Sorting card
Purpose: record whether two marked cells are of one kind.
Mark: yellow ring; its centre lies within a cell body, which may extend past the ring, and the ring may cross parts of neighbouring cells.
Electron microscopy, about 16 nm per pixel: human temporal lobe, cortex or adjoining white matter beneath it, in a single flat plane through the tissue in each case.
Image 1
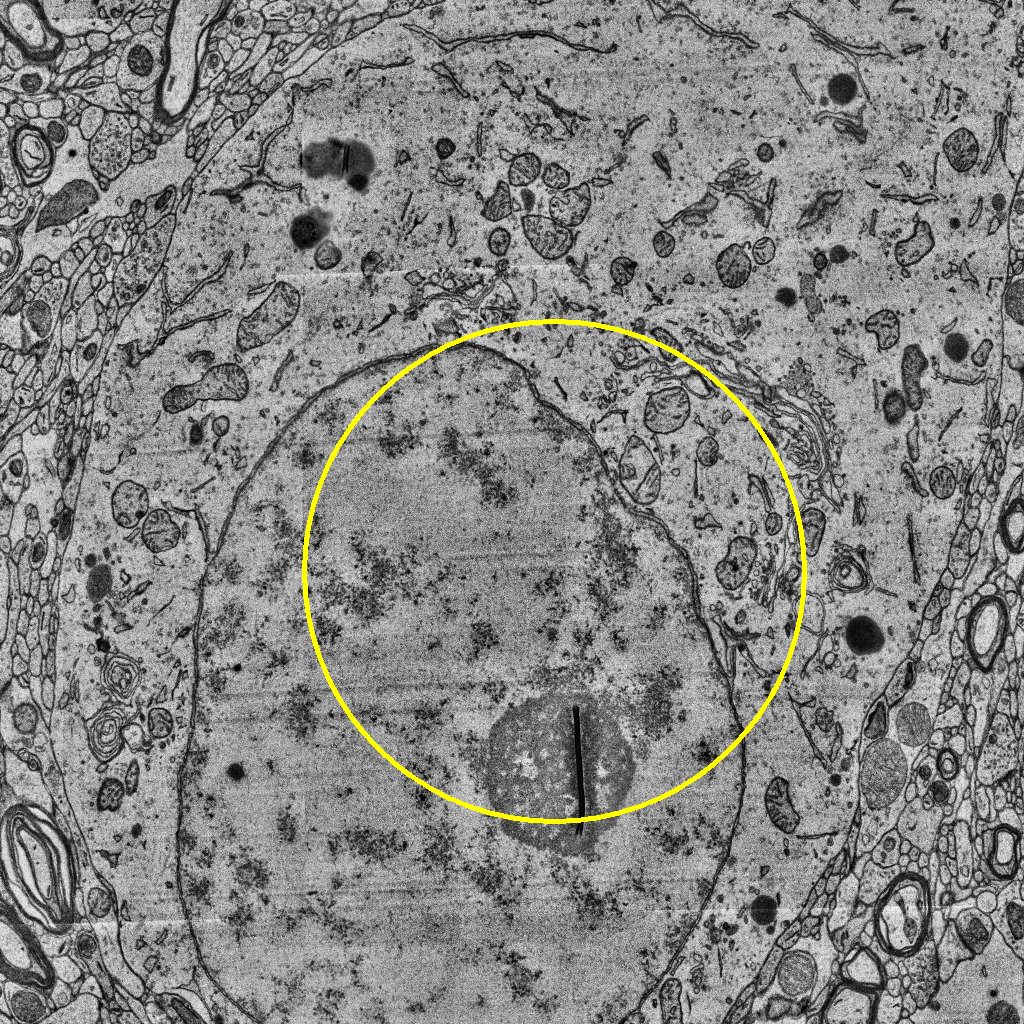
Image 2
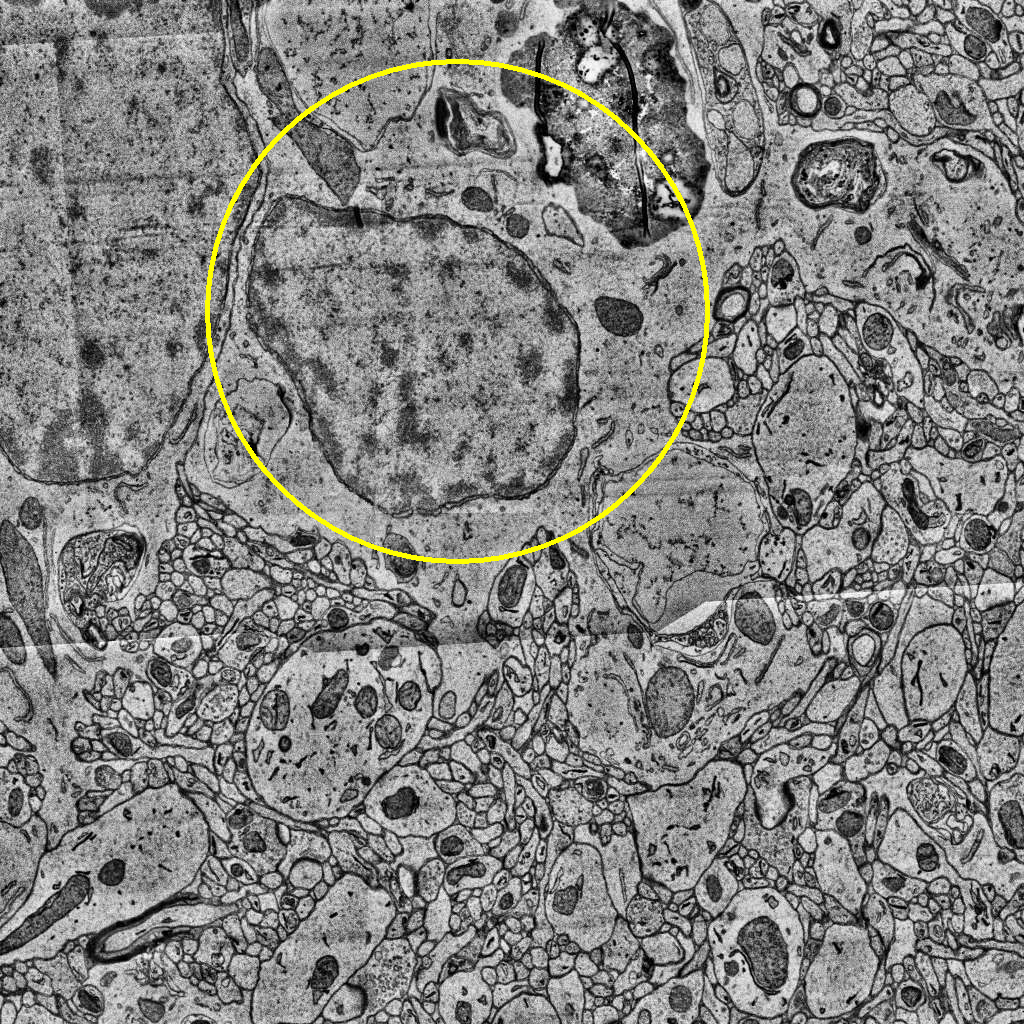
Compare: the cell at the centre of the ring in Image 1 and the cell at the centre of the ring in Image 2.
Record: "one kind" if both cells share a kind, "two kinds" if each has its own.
two kinds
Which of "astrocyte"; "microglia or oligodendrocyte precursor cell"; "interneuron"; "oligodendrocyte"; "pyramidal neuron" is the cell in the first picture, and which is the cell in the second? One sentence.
In the first picture it is a pyramidal neuron; in the second it is an astrocyte.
